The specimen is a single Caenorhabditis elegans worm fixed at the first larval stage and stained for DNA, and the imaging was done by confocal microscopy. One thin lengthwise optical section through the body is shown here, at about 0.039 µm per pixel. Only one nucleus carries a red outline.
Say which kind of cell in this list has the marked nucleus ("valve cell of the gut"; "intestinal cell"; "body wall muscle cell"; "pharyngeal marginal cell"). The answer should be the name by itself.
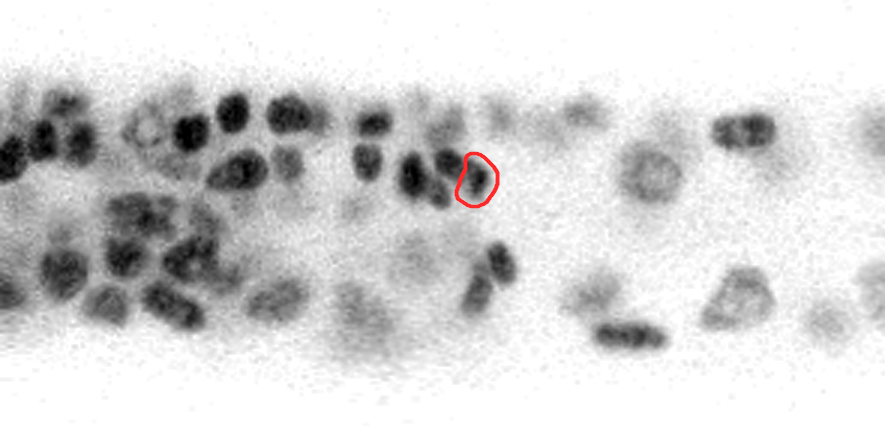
valve cell of the gut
